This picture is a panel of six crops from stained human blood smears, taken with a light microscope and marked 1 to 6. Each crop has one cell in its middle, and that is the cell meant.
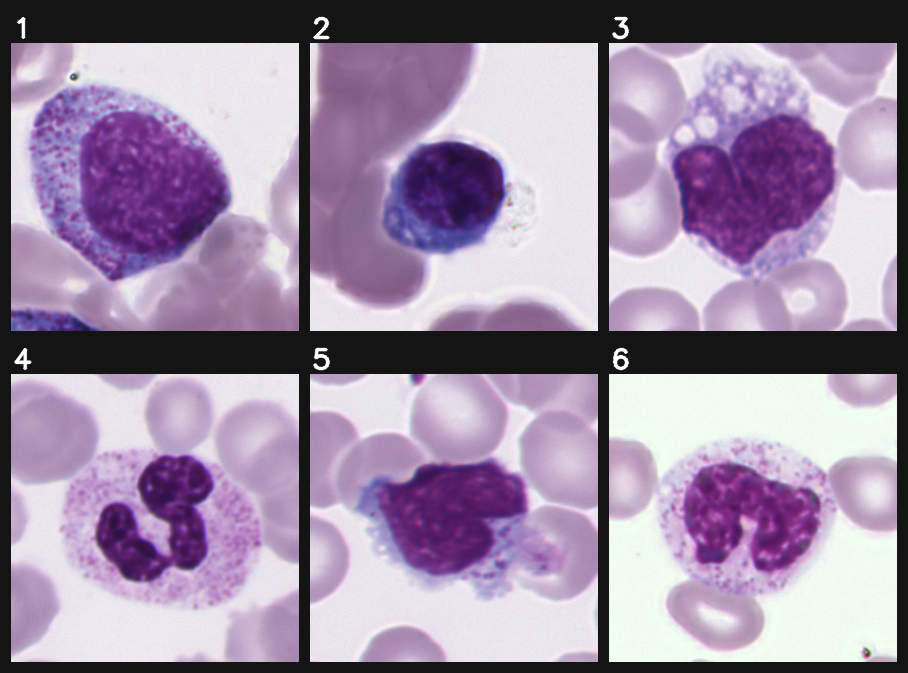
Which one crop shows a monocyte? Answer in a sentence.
The one that shows a monocyte is crop 3.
